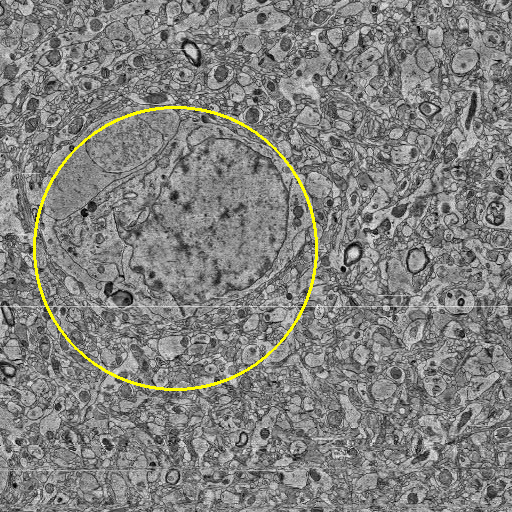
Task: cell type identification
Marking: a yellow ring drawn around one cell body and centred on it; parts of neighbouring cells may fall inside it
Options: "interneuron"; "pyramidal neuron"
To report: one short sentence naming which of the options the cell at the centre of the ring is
The cell at the centre of the ring is an interneuron.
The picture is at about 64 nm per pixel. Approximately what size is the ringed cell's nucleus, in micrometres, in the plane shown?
The nucleus works out at approximately 11 by 10 micrometres in this plane.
